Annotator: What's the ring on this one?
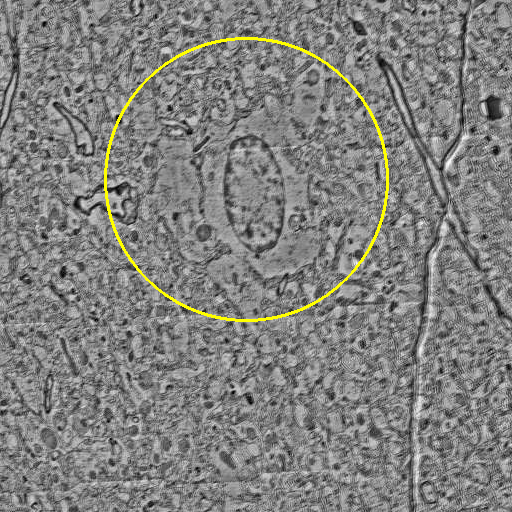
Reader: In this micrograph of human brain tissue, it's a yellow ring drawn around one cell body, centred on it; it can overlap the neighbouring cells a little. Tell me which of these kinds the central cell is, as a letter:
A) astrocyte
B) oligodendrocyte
A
